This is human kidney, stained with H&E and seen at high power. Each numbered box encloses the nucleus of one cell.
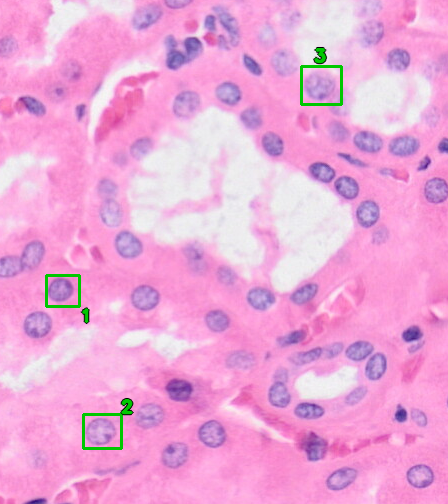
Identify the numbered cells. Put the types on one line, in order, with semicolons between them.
proximal tubule cell; proximal tubule cell; loop of Henle or distal tubule cell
